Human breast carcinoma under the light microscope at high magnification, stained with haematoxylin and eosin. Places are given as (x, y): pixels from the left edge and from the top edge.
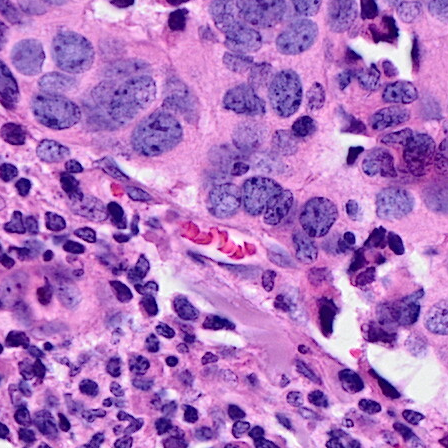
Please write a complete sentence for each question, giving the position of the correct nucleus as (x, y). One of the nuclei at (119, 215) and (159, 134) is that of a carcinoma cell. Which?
The nucleus situated at (159, 134) is the one belonging to a carcinoma cell.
